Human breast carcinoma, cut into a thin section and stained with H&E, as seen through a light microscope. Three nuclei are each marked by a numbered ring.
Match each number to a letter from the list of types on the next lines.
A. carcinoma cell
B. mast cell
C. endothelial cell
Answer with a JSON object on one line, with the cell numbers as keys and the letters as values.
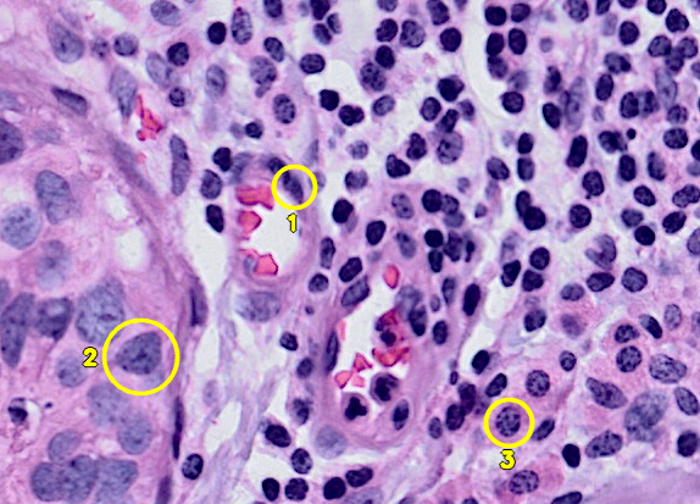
{"1": "C", "2": "A", "3": "B"}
